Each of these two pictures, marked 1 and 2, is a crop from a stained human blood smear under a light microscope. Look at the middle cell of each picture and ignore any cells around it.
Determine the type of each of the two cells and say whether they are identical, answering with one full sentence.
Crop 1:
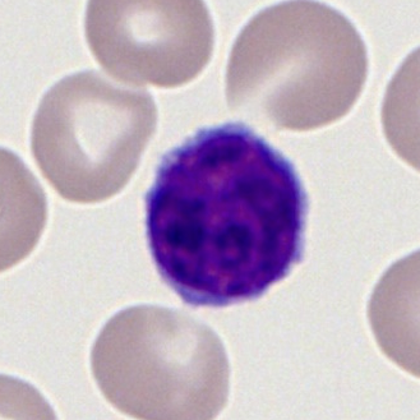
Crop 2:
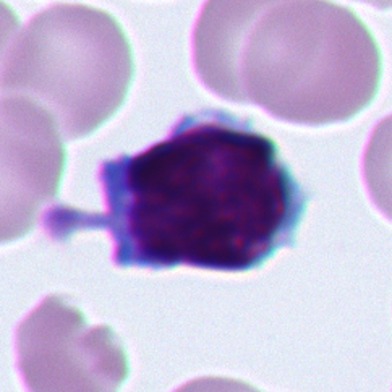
Yes, the cells in the centres of the two crops are lymphocytes.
